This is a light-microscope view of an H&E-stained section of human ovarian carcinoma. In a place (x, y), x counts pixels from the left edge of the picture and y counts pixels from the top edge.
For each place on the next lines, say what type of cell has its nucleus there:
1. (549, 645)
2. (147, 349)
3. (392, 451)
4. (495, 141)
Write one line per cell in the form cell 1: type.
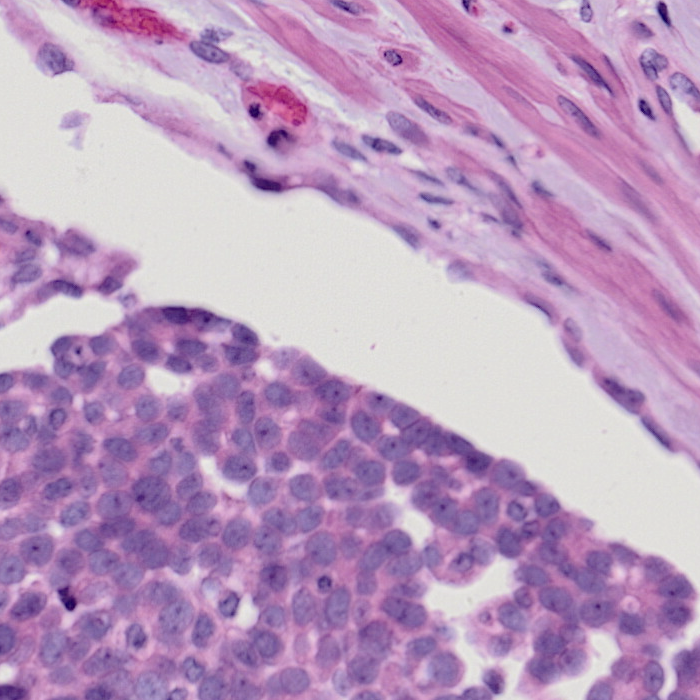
cell 1: carcinoma cell
cell 2: carcinoma cell
cell 3: carcinoma cell
cell 4: smooth muscle cell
